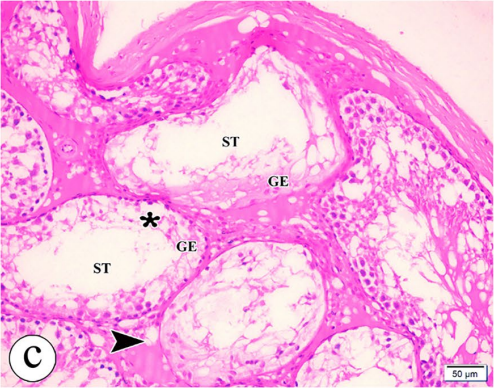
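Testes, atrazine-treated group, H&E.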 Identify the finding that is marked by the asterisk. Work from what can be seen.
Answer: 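The epithelium is thin and loosely arranged. So: separating from the basement membrane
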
